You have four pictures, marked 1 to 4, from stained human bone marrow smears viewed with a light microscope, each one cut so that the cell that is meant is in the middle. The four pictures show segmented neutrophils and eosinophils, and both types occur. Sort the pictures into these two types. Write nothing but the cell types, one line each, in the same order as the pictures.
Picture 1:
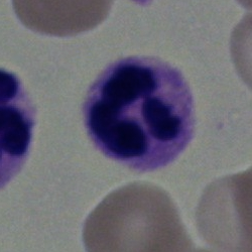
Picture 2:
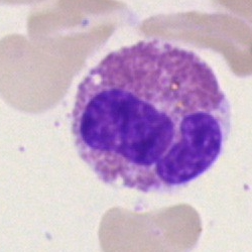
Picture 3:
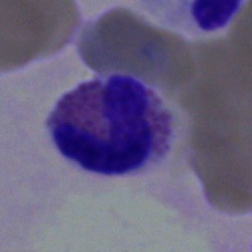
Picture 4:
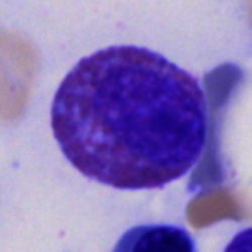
segmented neutrophil
eosinophil
eosinophil
eosinophil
